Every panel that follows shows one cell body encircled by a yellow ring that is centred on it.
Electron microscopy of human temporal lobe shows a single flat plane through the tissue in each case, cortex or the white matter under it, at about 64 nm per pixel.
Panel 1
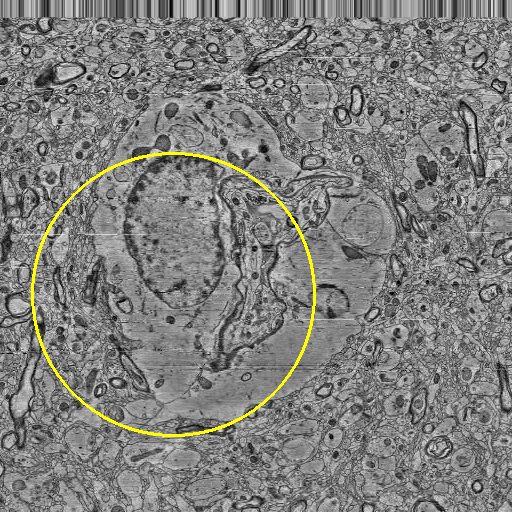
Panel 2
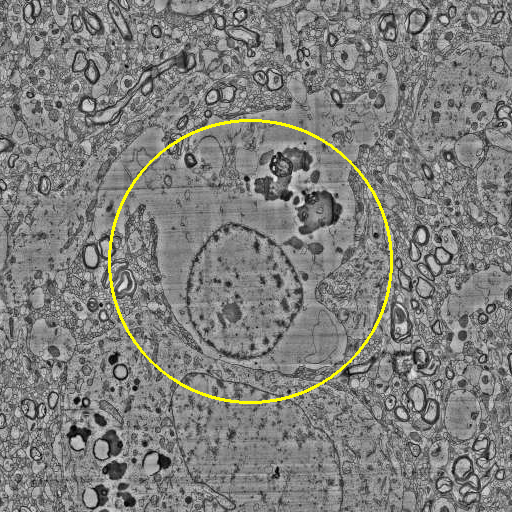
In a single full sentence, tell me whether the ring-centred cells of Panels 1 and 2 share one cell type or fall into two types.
In Panel 1 and Panel 2, the cells at the ring centres share one cell type.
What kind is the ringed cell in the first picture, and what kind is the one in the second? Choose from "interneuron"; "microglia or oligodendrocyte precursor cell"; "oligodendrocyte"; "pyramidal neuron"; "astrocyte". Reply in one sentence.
In each of the two pictures, the ringed cell is an astrocyte.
